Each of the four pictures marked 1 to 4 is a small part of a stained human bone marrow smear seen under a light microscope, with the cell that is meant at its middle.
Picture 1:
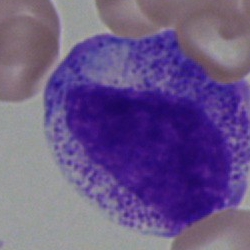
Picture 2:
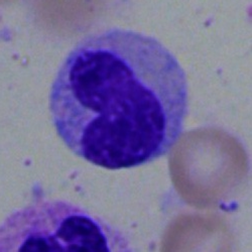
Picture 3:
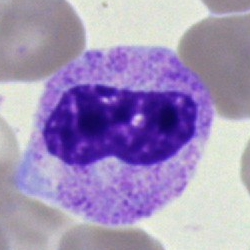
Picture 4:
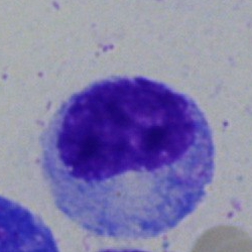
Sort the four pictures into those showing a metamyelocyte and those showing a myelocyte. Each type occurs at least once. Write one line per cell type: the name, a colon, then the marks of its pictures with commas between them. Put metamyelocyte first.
metamyelocyte: 2, 3
myelocyte: 1, 4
